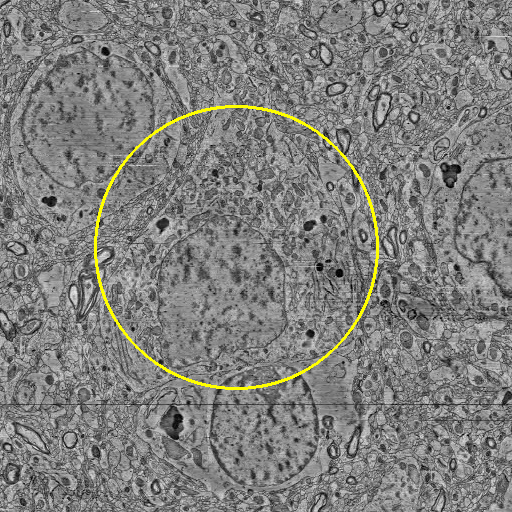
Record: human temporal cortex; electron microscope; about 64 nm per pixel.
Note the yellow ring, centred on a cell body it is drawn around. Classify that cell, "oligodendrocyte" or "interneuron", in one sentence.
The cell the ring is centred on is an interneuron.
